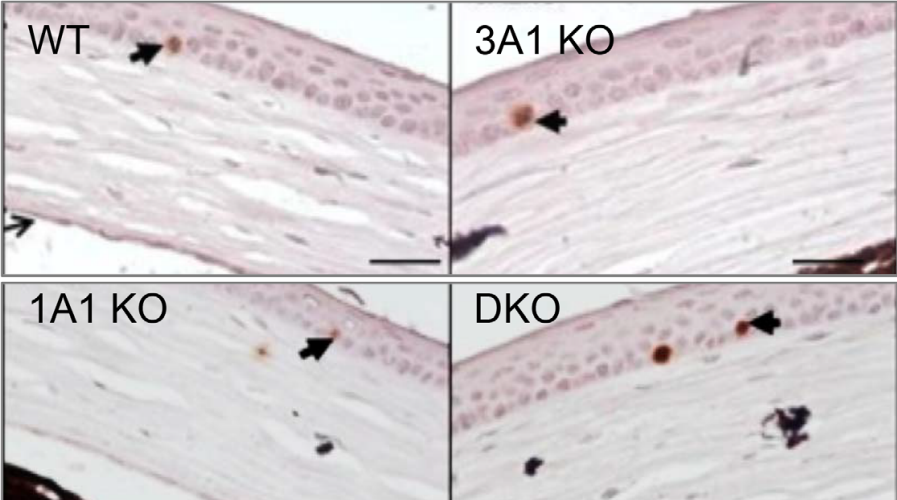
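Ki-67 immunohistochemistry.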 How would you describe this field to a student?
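These are sections of cornea, with a stratified epithelium of several layers of rounded to flattened nuclei resting on a thick stroma of regular, parallel pale lamellae with only scattered, thin, elongated nuclei between them. In each section one or two nuclei in the epithelium, near its deeper layers, are stained a dense red-brown and are pointed to by black arrows, while the other nuclei are only pale.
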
